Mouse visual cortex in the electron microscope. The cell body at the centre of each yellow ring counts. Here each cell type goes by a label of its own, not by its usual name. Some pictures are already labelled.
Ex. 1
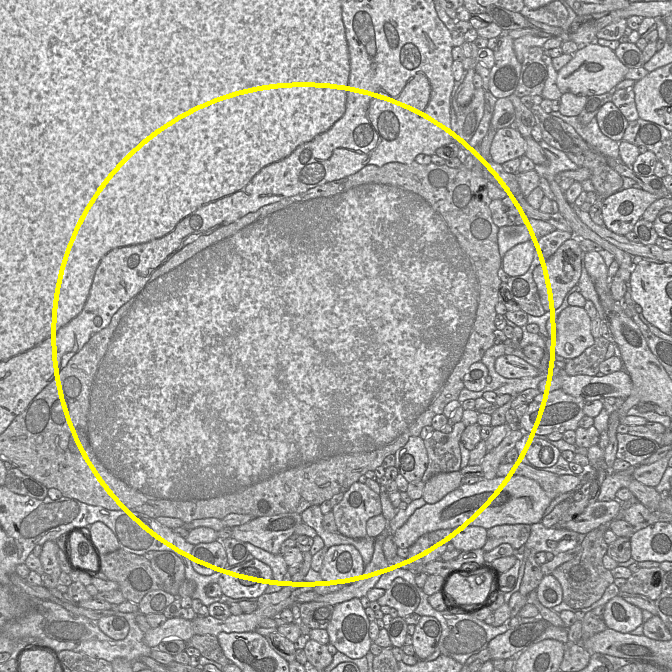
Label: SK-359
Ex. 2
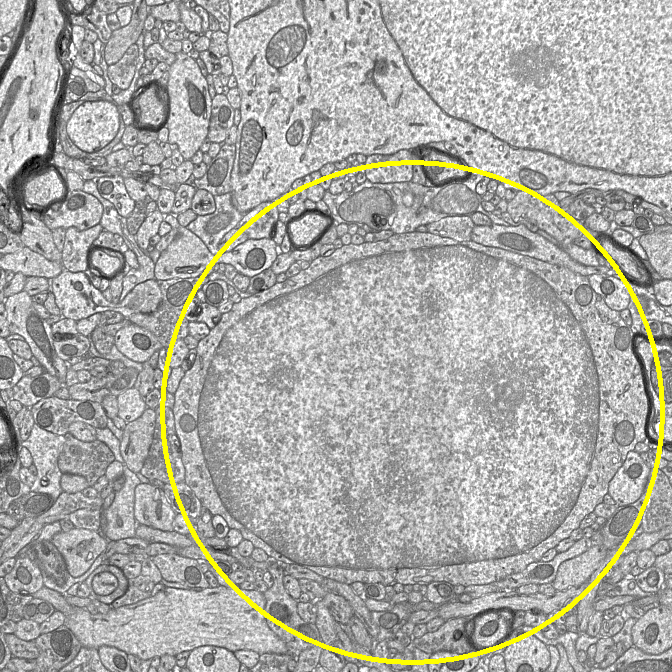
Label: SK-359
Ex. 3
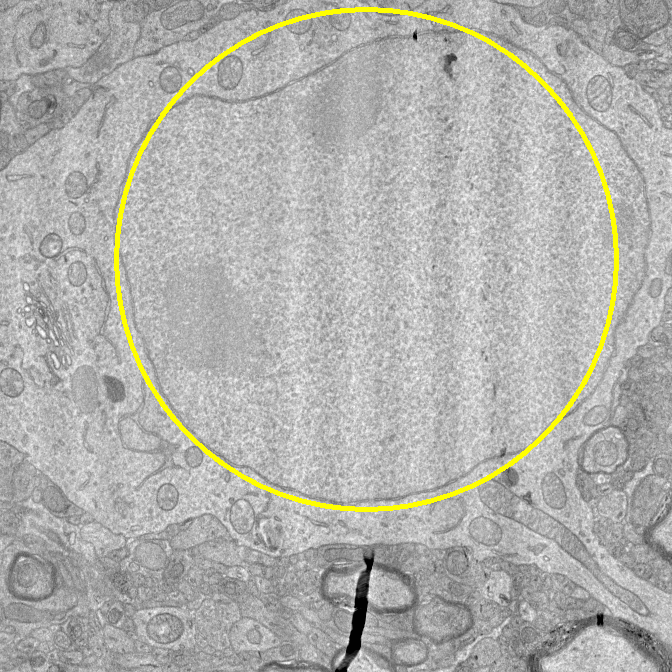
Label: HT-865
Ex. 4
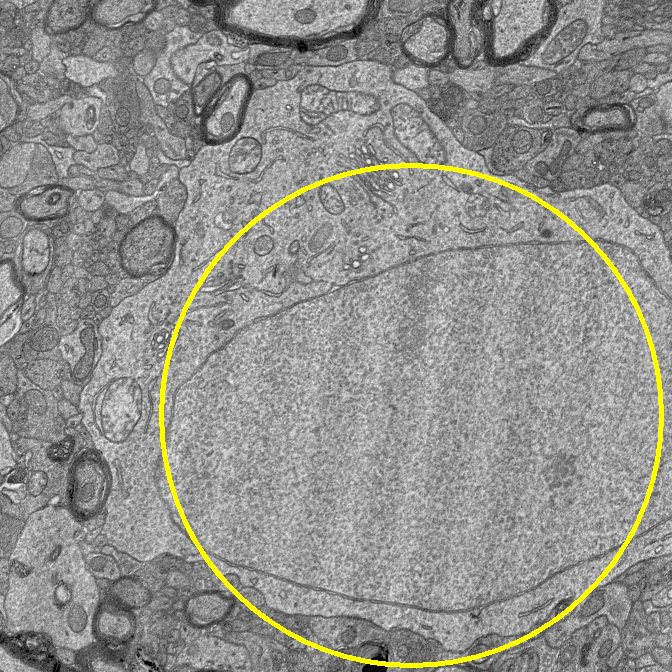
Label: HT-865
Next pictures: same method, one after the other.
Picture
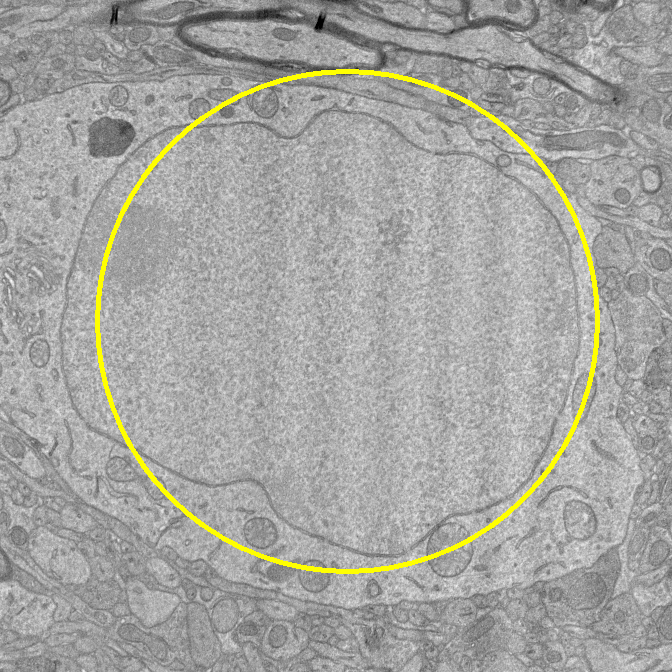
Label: HT-865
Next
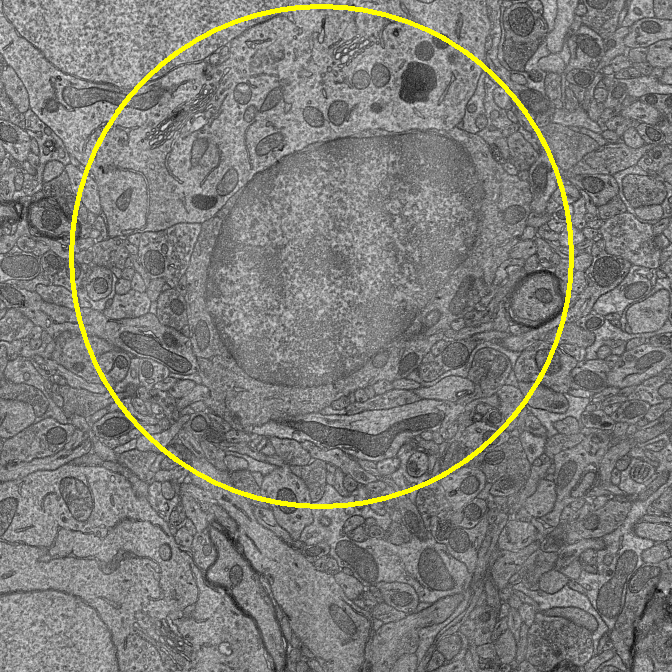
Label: SK-359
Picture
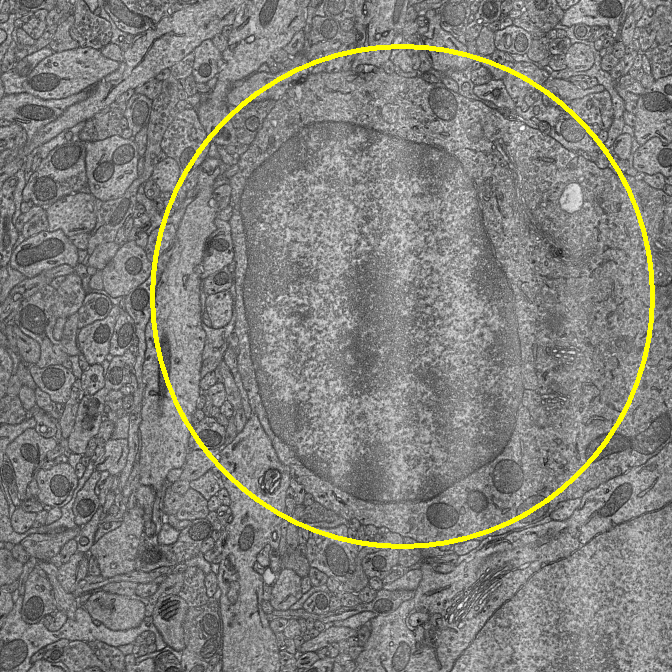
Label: SK-359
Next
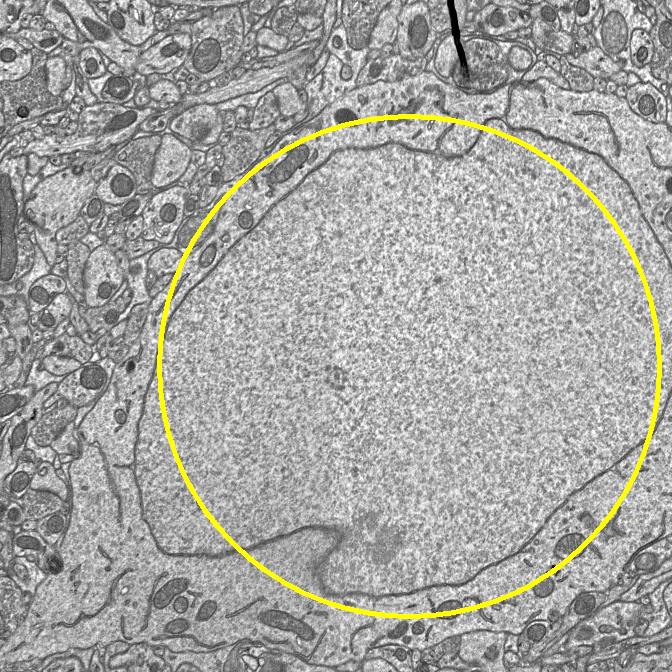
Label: HT-865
